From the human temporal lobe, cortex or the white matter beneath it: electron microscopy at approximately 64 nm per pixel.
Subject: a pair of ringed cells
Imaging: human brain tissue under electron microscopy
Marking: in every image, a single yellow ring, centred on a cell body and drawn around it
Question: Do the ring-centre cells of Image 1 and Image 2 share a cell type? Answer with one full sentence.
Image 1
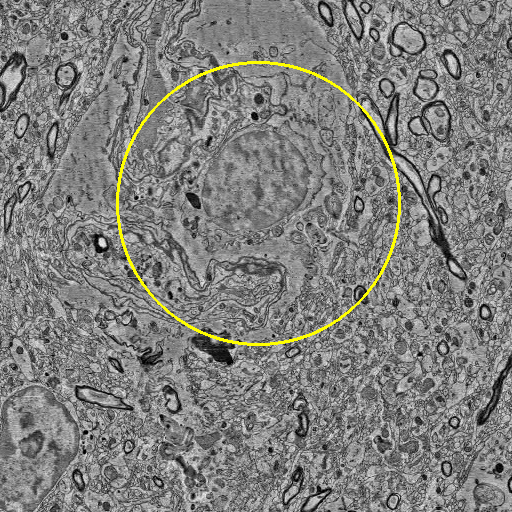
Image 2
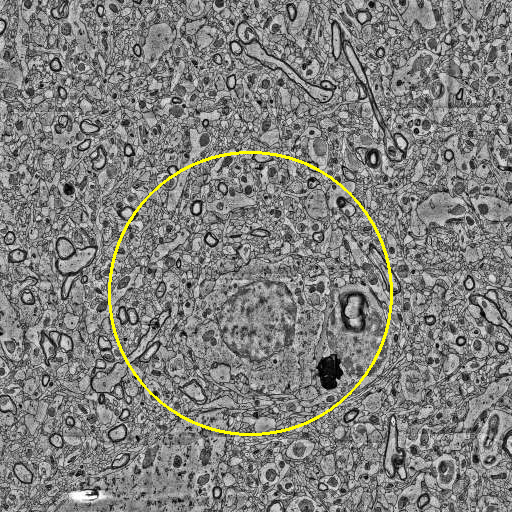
No, at the ring centres in the images sit cells of two separate types.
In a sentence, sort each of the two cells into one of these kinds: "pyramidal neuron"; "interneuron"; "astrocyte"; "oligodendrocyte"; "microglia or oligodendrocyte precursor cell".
The first of the two cells is an oligodendrocyte, and the second is an interneuron.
